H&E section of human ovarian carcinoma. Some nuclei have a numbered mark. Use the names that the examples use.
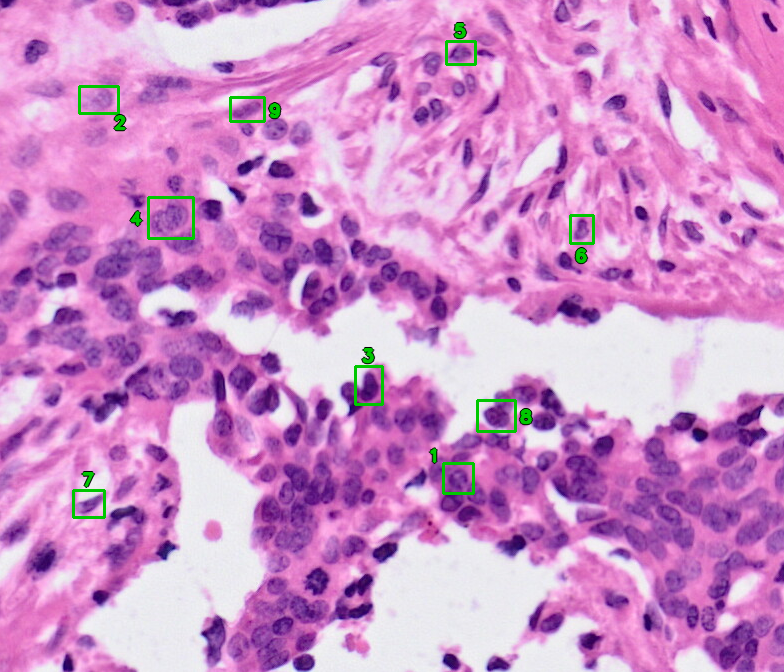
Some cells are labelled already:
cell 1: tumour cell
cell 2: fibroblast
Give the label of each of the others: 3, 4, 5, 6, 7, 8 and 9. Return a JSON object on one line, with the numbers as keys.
{"3": "tumour cell", "4": "tumour cell", "5": "fibroblast", "6": "fibroblast", "7": "fibroblast", "8": "tumour cell", "9": "fibroblast"}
